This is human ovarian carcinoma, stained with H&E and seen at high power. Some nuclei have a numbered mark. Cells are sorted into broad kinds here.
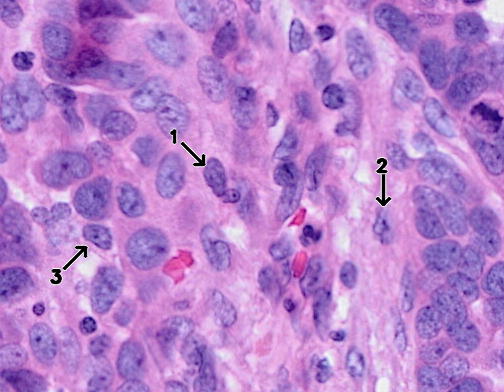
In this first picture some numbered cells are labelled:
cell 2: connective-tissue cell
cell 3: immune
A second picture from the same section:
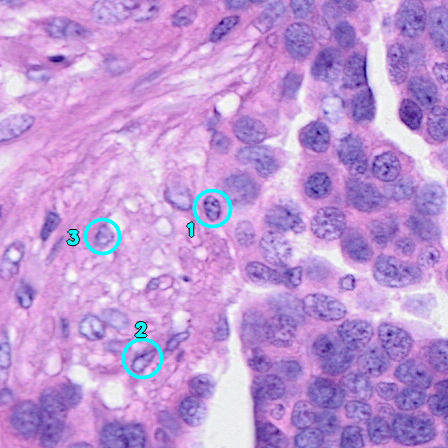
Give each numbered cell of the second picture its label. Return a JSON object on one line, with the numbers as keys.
{"1": "immune", "2": "connective-tissue cell", "3": "connective-tissue cell"}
